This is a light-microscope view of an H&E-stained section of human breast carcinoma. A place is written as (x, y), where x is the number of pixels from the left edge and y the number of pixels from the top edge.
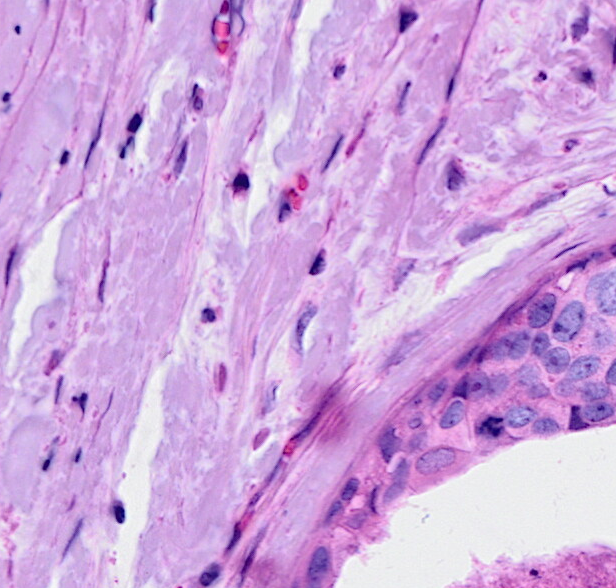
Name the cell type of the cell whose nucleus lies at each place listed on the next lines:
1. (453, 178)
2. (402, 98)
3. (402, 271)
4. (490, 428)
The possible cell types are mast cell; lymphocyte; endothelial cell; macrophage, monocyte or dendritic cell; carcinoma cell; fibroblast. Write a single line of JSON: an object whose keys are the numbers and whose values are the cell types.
{"1": "fibroblast", "2": "fibroblast", "3": "fibroblast", "4": "carcinoma cell"}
